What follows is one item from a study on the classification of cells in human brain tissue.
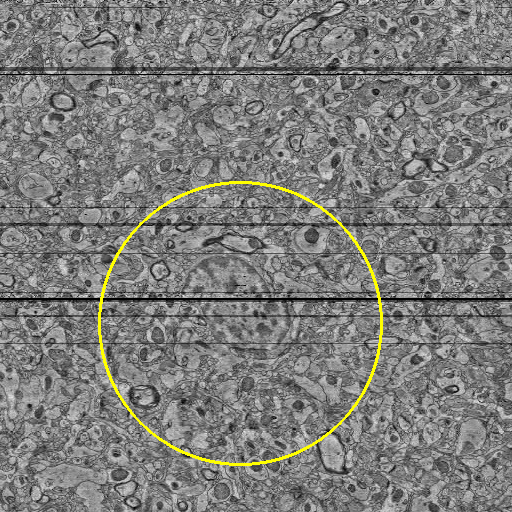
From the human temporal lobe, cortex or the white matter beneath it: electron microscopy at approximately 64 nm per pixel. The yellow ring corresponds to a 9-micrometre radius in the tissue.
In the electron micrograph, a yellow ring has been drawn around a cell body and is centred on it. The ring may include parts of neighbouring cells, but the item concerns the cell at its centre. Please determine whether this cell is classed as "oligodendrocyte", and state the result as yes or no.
yes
